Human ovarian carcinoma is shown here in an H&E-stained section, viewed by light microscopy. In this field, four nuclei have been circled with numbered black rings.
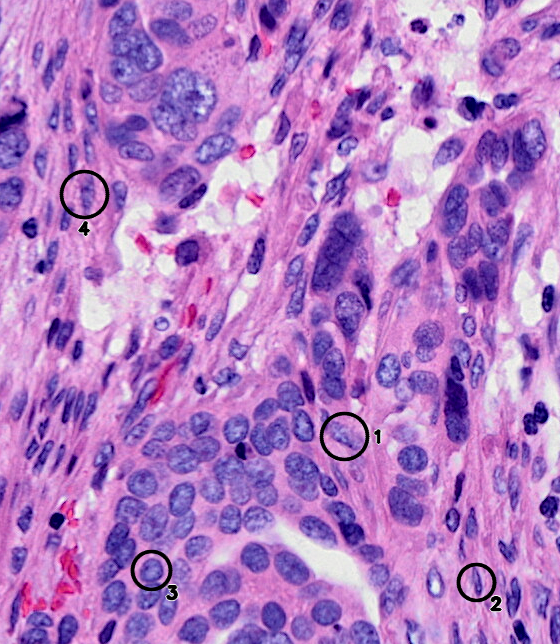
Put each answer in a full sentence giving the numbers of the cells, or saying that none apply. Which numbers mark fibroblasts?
By cell type, the cells numbered 1, 2 and 4 are fibroblasts.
